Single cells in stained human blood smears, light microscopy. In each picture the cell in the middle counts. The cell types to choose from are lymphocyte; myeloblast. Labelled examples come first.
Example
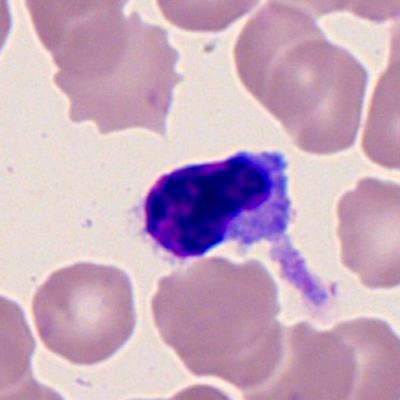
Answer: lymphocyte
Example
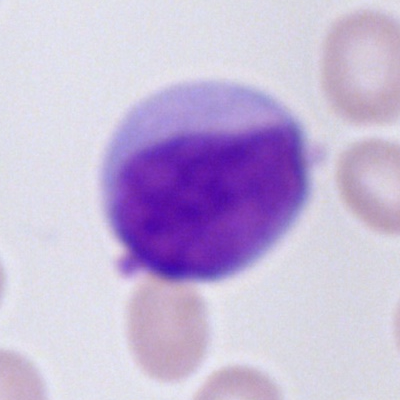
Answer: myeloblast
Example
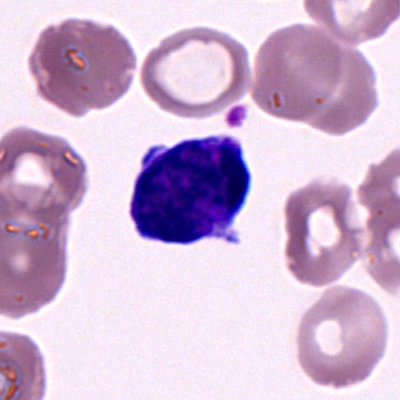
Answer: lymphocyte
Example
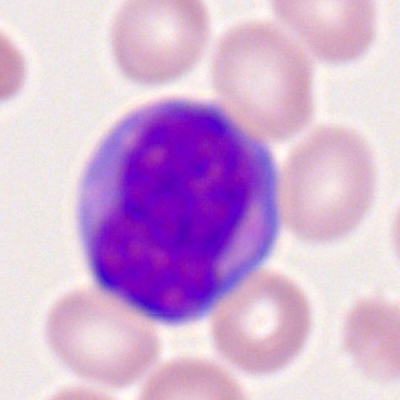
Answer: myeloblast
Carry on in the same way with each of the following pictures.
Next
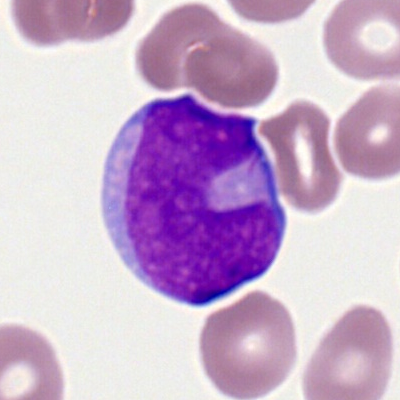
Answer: myeloblast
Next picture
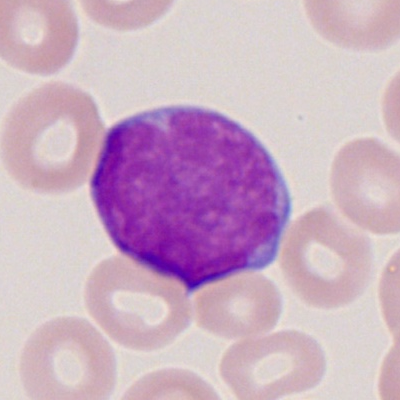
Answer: myeloblast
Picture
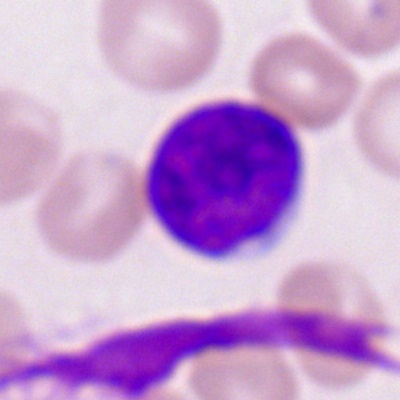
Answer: myeloblast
